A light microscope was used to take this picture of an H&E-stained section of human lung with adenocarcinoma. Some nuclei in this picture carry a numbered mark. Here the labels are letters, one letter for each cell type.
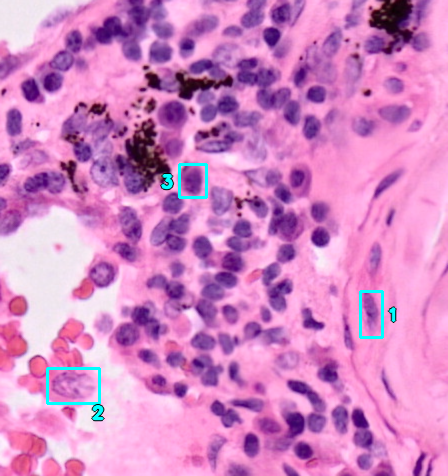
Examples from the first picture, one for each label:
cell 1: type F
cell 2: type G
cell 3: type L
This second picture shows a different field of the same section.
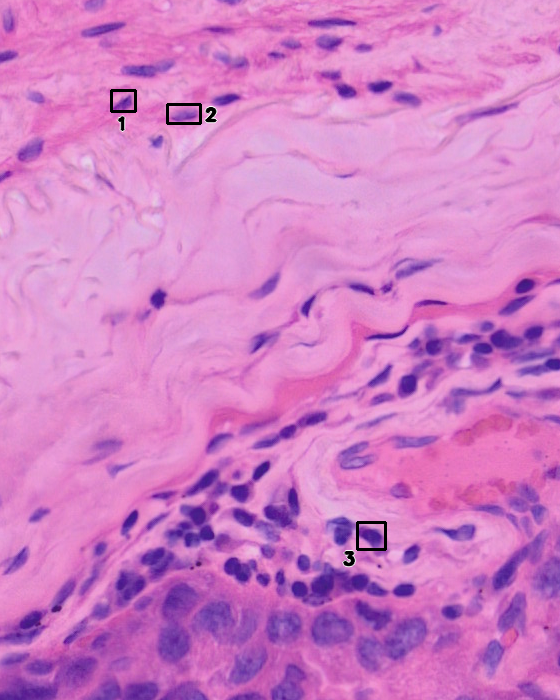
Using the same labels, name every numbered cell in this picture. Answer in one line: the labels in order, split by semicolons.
type F; type F; type L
